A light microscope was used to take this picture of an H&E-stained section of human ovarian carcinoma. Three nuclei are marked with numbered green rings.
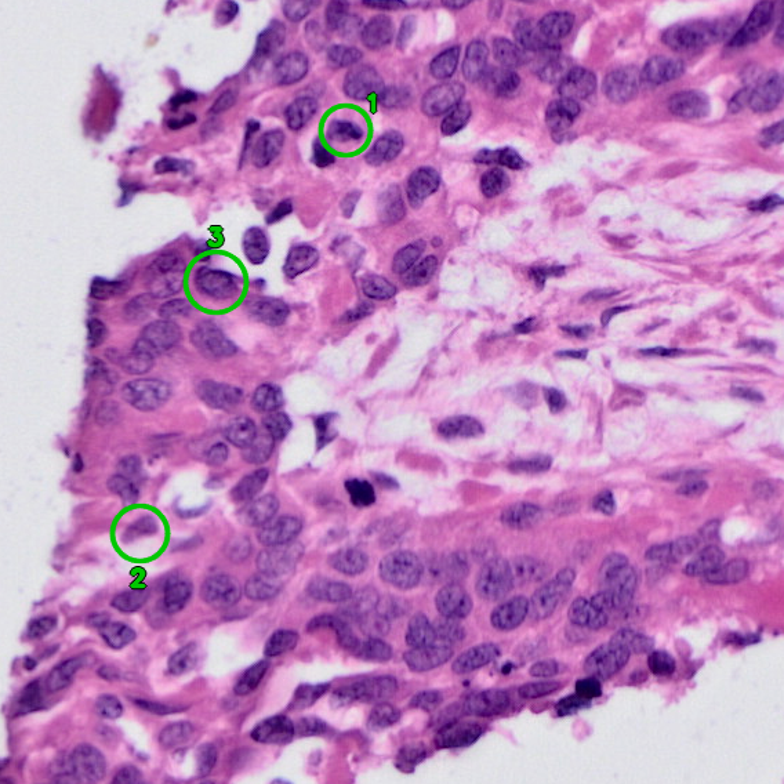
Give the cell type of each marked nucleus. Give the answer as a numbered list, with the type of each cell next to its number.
1. macrophage or monocyte
2. macrophage or monocyte
3. carcinoma cell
